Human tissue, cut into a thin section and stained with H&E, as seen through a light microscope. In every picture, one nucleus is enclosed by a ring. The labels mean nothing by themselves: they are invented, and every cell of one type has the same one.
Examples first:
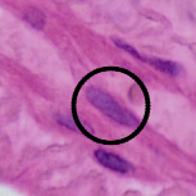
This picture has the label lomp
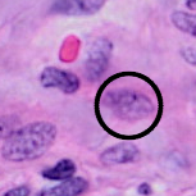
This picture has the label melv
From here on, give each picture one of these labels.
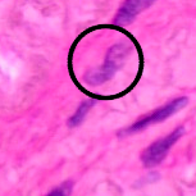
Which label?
lomp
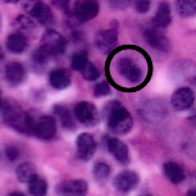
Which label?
melv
